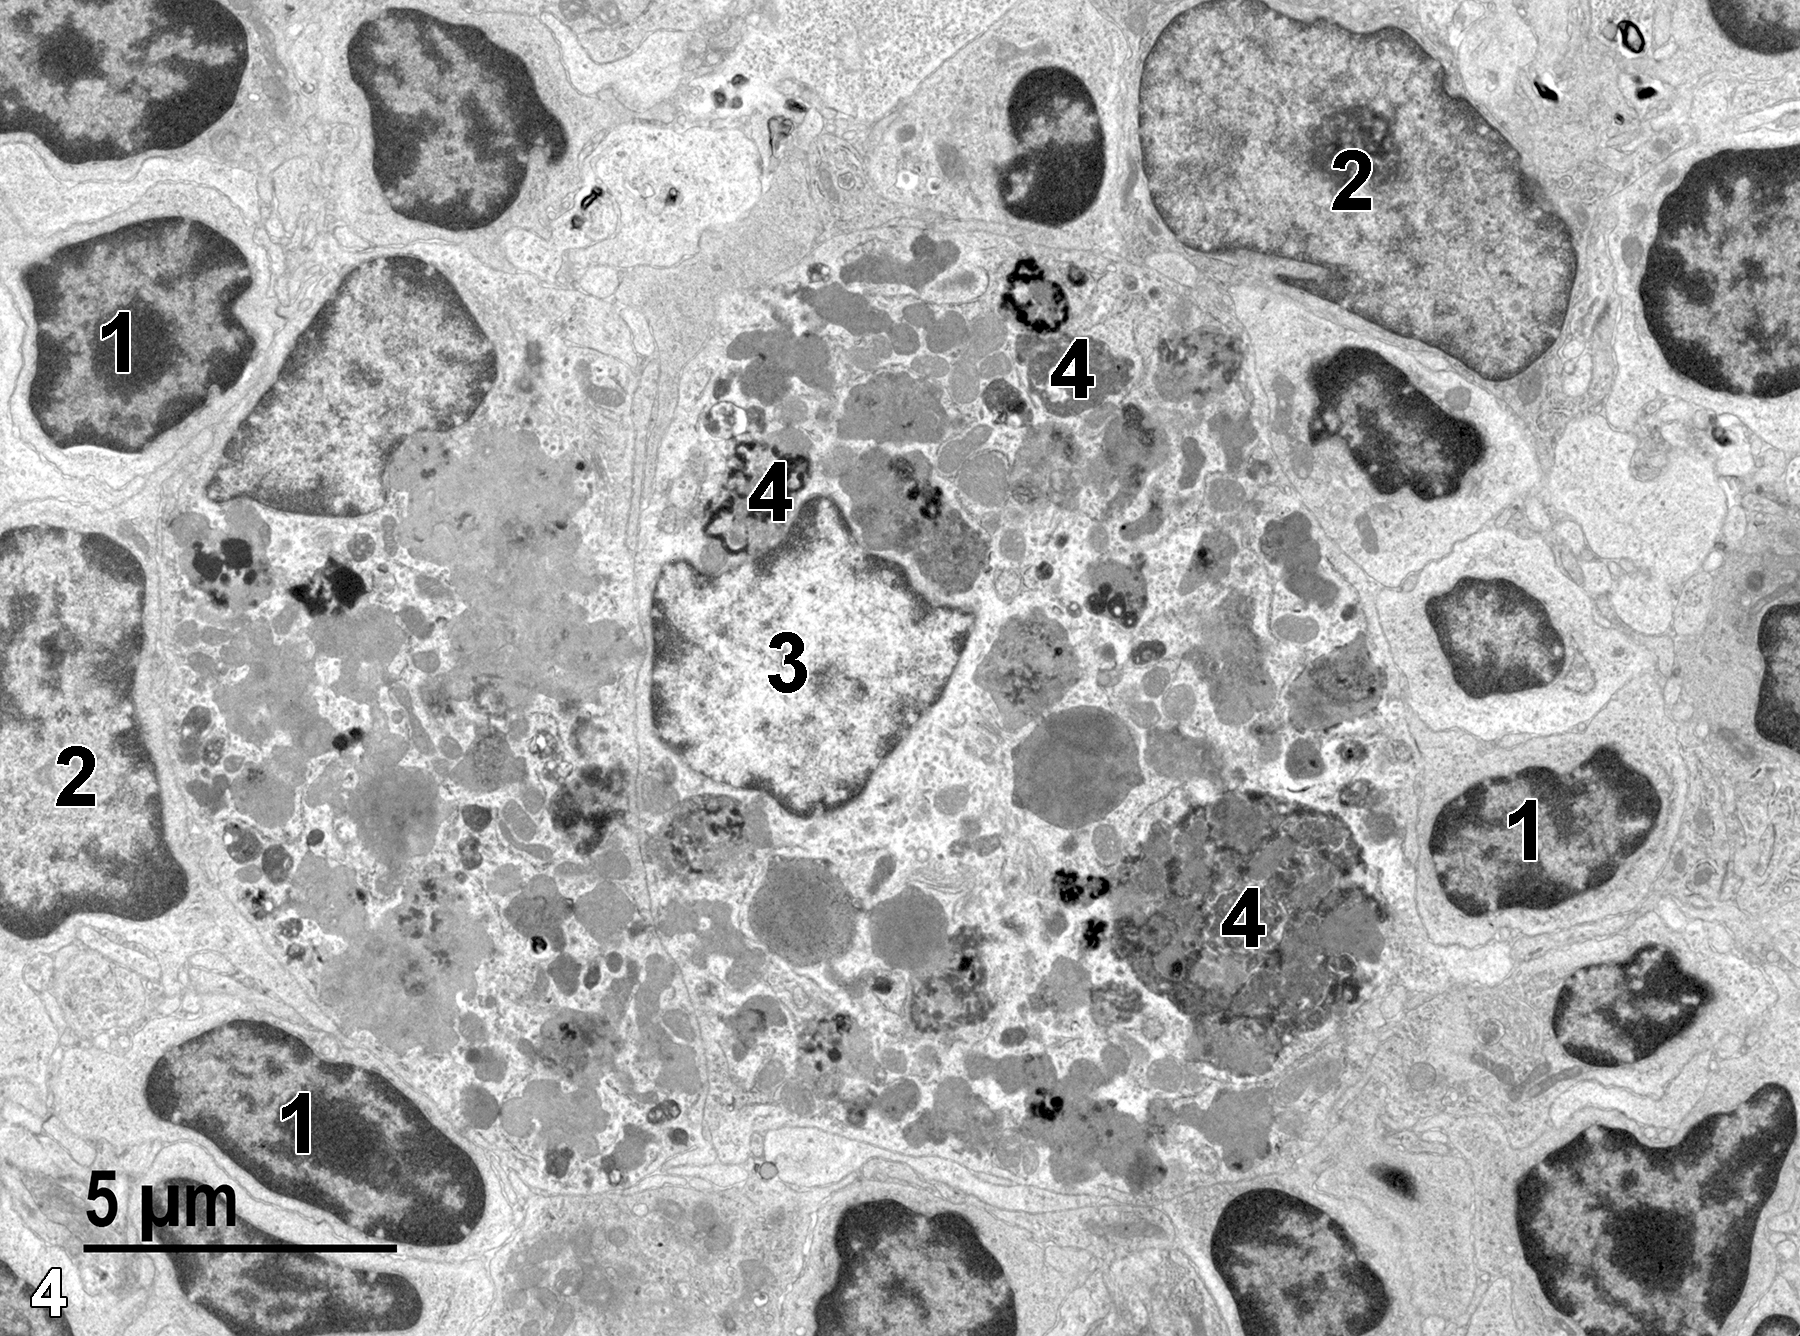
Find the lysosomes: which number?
4.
